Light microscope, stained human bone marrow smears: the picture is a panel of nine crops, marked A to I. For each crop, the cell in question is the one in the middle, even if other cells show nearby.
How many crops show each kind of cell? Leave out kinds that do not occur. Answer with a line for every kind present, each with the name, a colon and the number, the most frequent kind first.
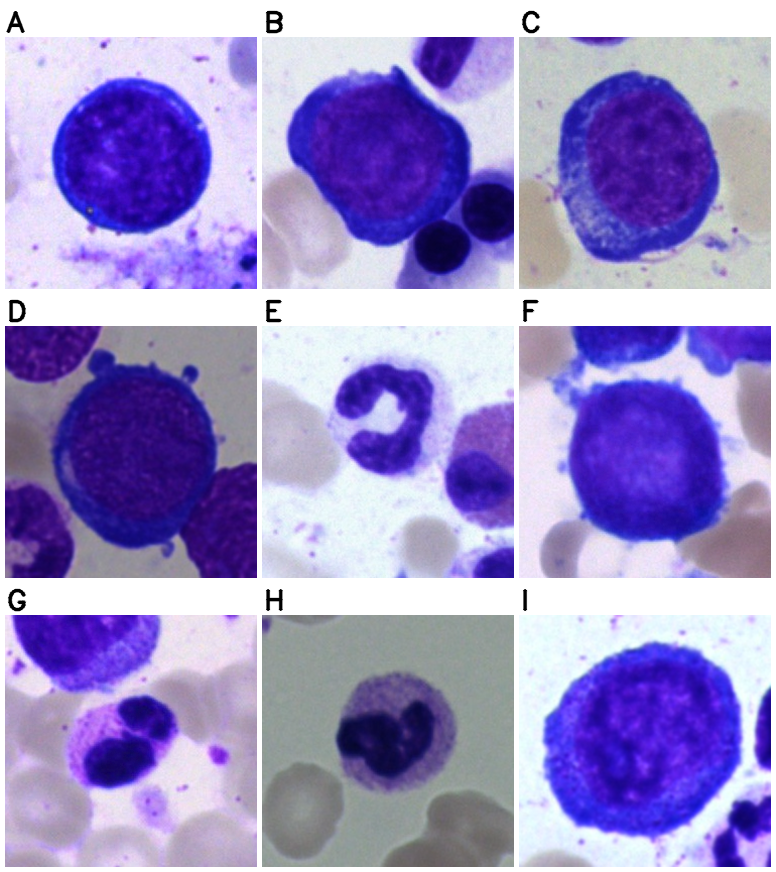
proerythroblast: 6
neutrophil: 3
